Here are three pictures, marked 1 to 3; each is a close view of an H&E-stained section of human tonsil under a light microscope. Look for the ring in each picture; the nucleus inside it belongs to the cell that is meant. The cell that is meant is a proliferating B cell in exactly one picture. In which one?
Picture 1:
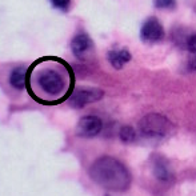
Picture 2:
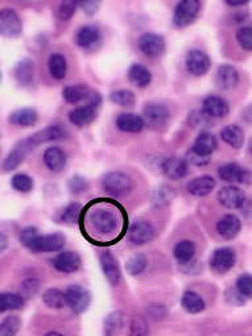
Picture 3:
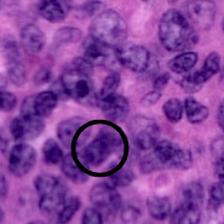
3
